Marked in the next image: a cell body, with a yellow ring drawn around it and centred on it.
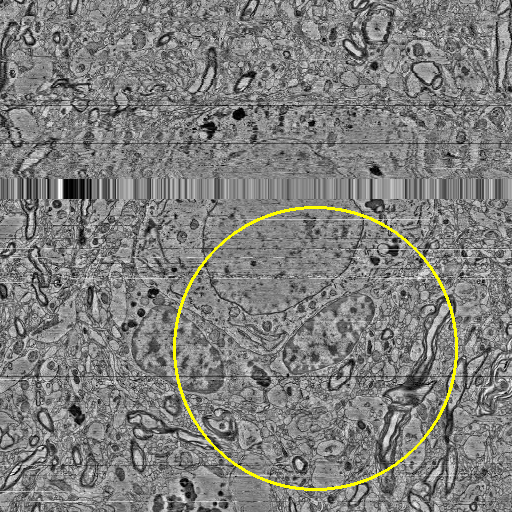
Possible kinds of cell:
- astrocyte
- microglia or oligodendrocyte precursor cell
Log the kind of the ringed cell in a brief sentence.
The ringed cell body is that of a microglial cell or oligodendrocyte precursor cell.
